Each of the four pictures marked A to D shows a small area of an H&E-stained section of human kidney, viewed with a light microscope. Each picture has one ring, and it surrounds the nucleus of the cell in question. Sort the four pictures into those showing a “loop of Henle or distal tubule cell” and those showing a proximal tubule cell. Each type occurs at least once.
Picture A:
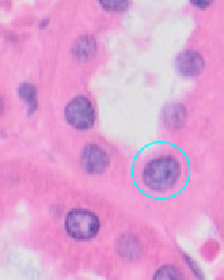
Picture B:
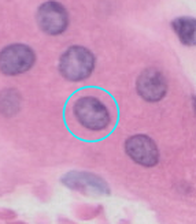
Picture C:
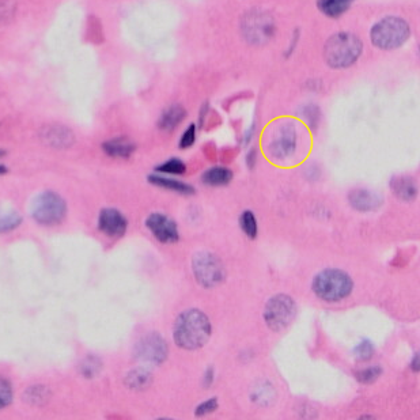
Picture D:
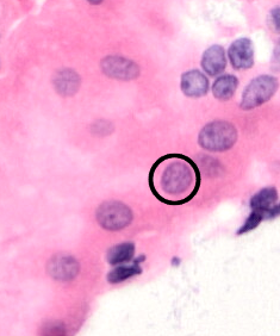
A: loop of Henle or distal tubule cell
B: proximal tubule cell
C: loop of Henle or distal tubule cell
D: proximal tubule cell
